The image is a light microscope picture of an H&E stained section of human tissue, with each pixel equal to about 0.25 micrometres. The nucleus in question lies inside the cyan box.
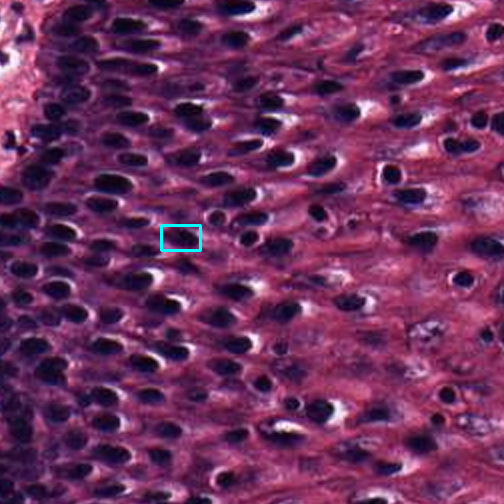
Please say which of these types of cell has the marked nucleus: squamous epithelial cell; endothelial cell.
squamous epithelial cell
